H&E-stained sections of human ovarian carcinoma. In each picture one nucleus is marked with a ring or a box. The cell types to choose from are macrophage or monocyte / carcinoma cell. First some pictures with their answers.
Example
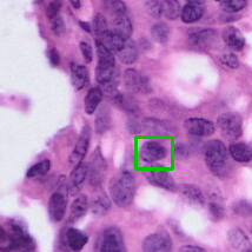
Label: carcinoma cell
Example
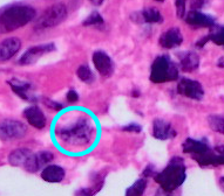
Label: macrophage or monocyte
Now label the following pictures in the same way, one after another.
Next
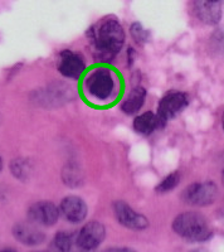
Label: carcinoma cell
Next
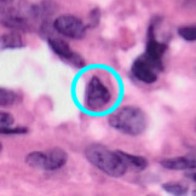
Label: macrophage or monocyte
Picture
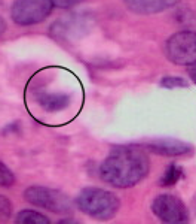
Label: macrophage or monocyte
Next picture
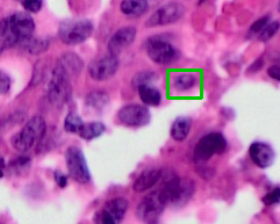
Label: macrophage or monocyte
